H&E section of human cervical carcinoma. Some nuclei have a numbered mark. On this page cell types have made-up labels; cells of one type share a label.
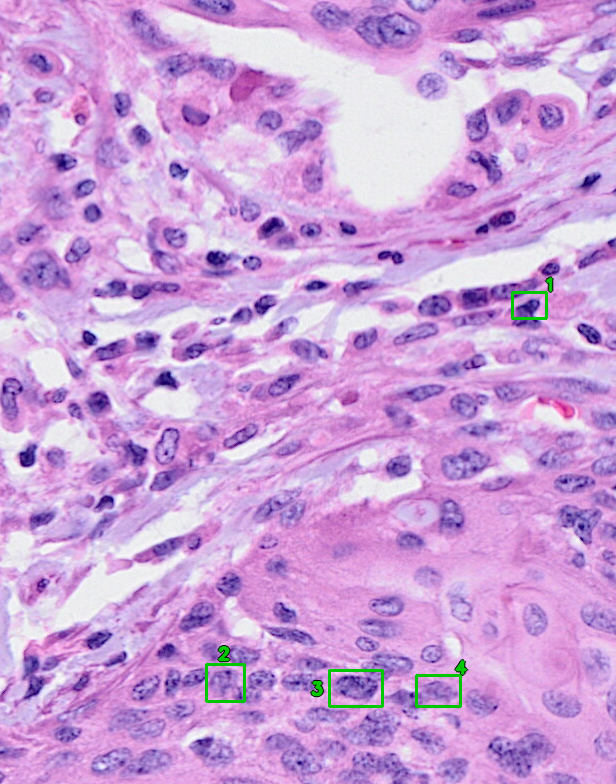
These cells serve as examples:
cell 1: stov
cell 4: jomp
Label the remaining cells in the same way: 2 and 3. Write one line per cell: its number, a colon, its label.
2: jomp
3: jomp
